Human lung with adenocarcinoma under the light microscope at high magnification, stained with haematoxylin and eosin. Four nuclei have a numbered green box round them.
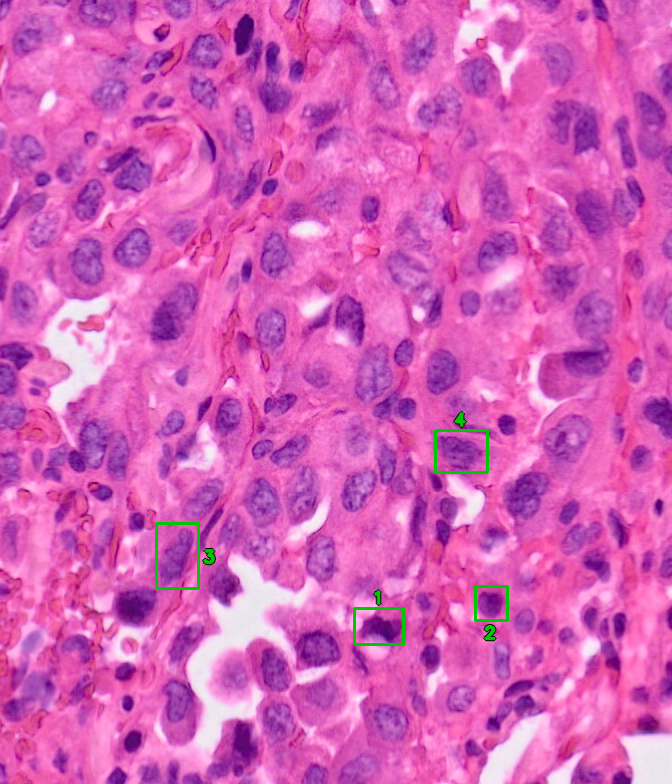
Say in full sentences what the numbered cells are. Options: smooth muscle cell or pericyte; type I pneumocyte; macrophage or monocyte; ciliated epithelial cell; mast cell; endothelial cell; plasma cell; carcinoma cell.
Cell 1 is a carcinoma cell, cell 2 is a macrophage or monocyte, cell 3 is a carcinoma cell and cell 4 is a carcinoma cell.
